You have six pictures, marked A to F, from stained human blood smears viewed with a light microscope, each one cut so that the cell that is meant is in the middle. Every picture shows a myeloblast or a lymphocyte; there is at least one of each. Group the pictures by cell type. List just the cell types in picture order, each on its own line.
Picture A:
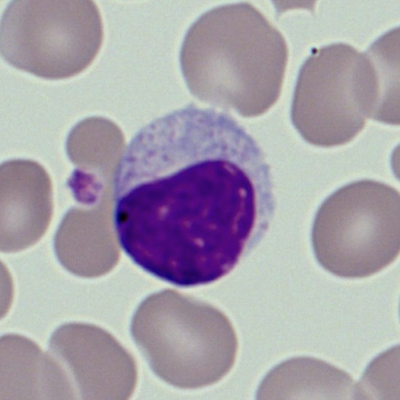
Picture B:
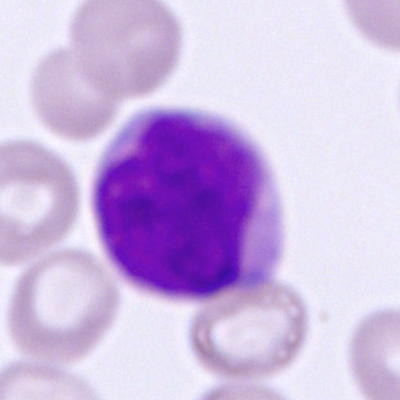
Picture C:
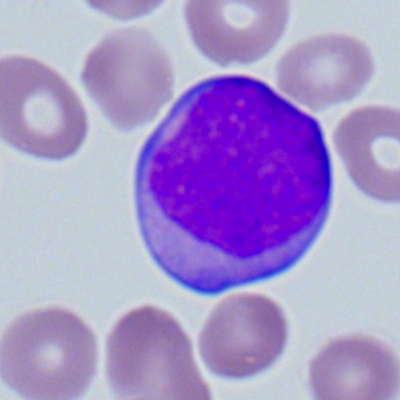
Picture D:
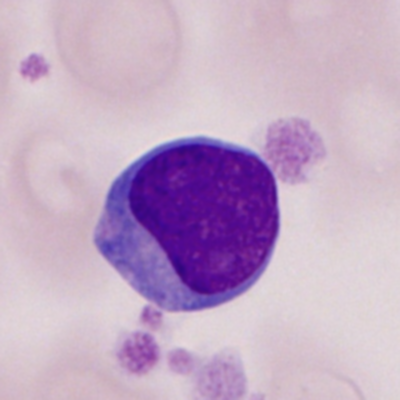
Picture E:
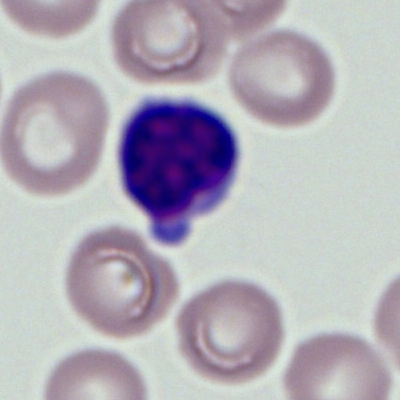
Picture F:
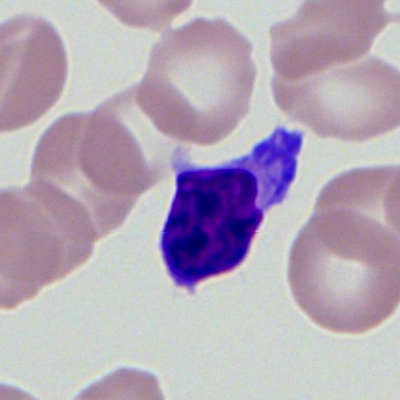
lymphocyte
myeloblast
myeloblast
myeloblast
lymphocyte
lymphocyte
